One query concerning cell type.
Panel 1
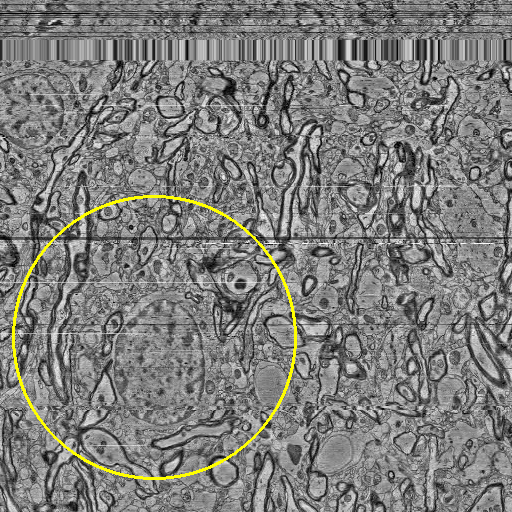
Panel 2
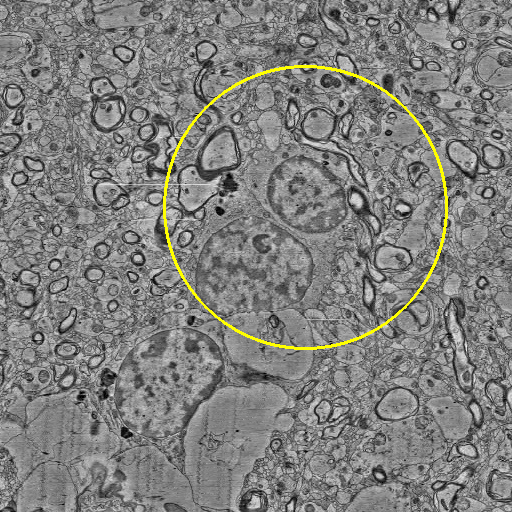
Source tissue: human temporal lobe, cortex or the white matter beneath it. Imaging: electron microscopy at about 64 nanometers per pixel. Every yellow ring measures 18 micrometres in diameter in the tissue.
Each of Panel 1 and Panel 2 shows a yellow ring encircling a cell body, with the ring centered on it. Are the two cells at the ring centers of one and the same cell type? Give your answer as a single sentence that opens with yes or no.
Yes, the cell centered in Panel 1 and the one in Panel 2 share a type.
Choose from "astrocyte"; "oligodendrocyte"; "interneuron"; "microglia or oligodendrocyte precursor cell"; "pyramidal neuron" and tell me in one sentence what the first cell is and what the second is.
In both pictures the ring is centred on an oligodendrocyte.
